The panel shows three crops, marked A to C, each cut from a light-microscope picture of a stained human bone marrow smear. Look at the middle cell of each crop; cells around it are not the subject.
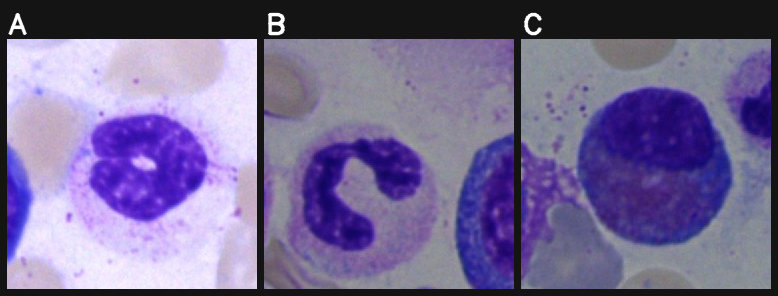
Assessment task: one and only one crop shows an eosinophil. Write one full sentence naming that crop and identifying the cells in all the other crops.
Crop C counts as an eosinophil, while crop A is a band neutrophil and crop B is a segmented neutrophil.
